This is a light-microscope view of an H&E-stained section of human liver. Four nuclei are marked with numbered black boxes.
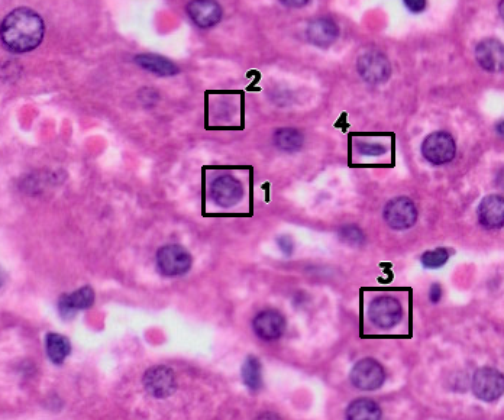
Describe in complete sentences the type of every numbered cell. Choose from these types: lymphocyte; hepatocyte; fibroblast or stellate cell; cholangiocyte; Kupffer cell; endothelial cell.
Cell 1 is a hepatocyte, cell 2 is a hepatocyte, cell 3 is a hepatocyte and cell 4 is an endothelial cell.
